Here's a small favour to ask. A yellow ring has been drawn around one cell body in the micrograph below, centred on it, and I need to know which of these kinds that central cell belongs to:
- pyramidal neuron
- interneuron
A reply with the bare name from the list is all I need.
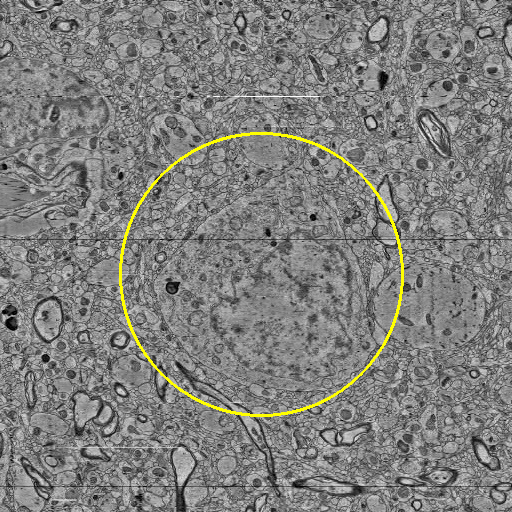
interneuron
